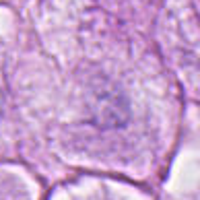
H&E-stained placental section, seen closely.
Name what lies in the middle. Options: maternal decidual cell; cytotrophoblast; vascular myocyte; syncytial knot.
maternal decidual cell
